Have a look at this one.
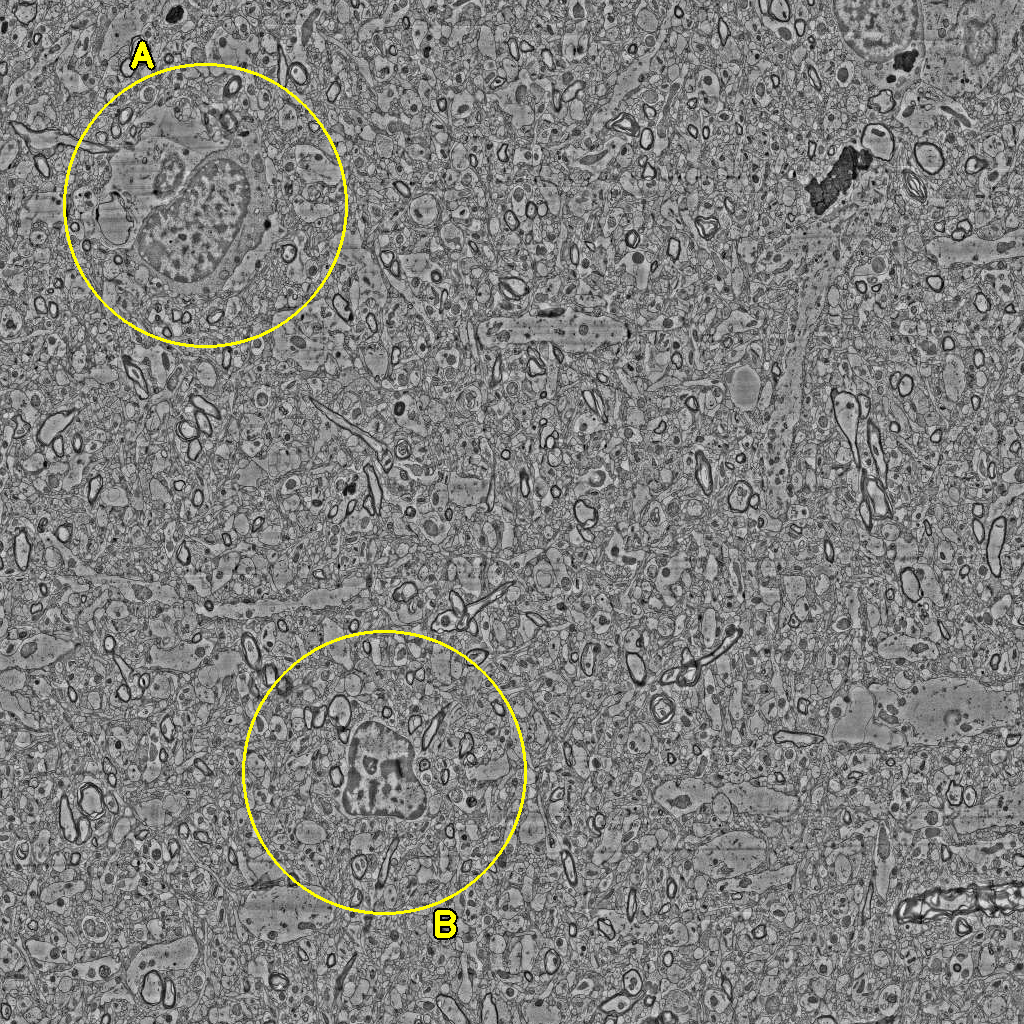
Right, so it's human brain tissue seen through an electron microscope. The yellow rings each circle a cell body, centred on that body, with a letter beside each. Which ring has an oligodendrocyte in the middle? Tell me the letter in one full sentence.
That kind of cell is sitting in the middle of ring A there.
